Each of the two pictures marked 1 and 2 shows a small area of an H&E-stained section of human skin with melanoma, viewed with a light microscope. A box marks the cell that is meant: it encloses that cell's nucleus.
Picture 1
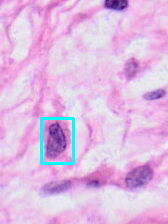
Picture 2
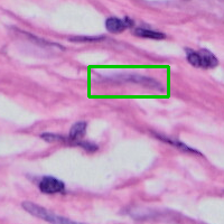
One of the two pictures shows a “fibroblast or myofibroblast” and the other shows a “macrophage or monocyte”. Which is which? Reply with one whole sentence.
Picture 1 is of a “macrophage or monocyte”, and picture 2 is of a “fibroblast or myofibroblast”.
